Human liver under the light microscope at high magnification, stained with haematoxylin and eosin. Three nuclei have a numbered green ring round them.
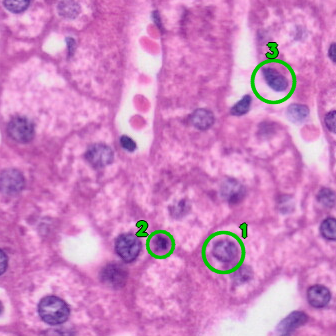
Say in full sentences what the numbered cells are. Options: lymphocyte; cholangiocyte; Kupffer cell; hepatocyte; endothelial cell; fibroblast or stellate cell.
Cell 1 is a hepatocyte. Cells 2 and 3 are fibroblasts or stellate cells.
